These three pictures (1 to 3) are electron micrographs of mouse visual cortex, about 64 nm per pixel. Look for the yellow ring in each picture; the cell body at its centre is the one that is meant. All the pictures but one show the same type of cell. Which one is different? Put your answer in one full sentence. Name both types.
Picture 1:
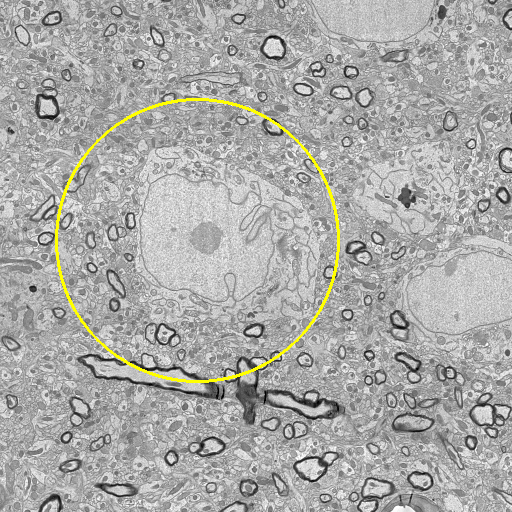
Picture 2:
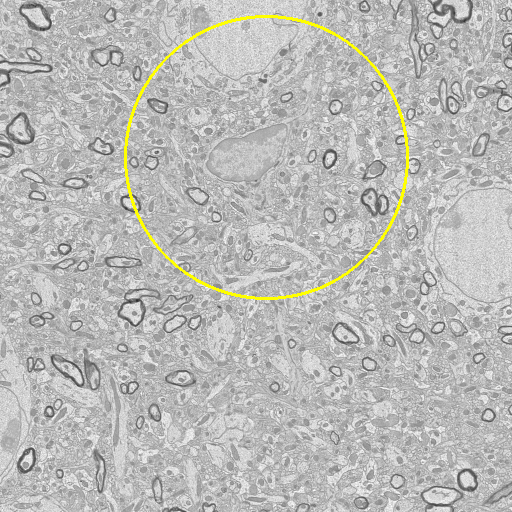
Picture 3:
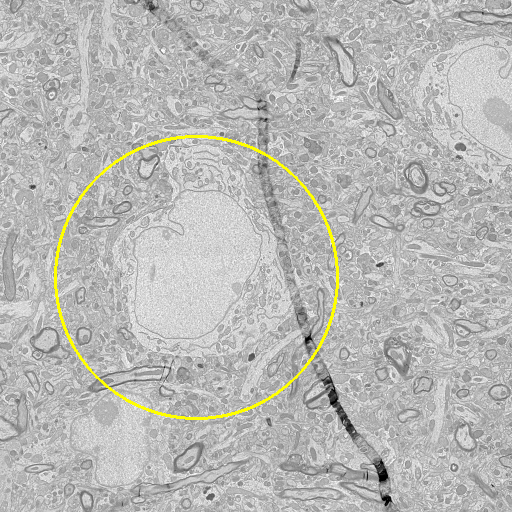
All pictures except 2 show inhibitory neurons; picture 2 shows a microglial cell.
